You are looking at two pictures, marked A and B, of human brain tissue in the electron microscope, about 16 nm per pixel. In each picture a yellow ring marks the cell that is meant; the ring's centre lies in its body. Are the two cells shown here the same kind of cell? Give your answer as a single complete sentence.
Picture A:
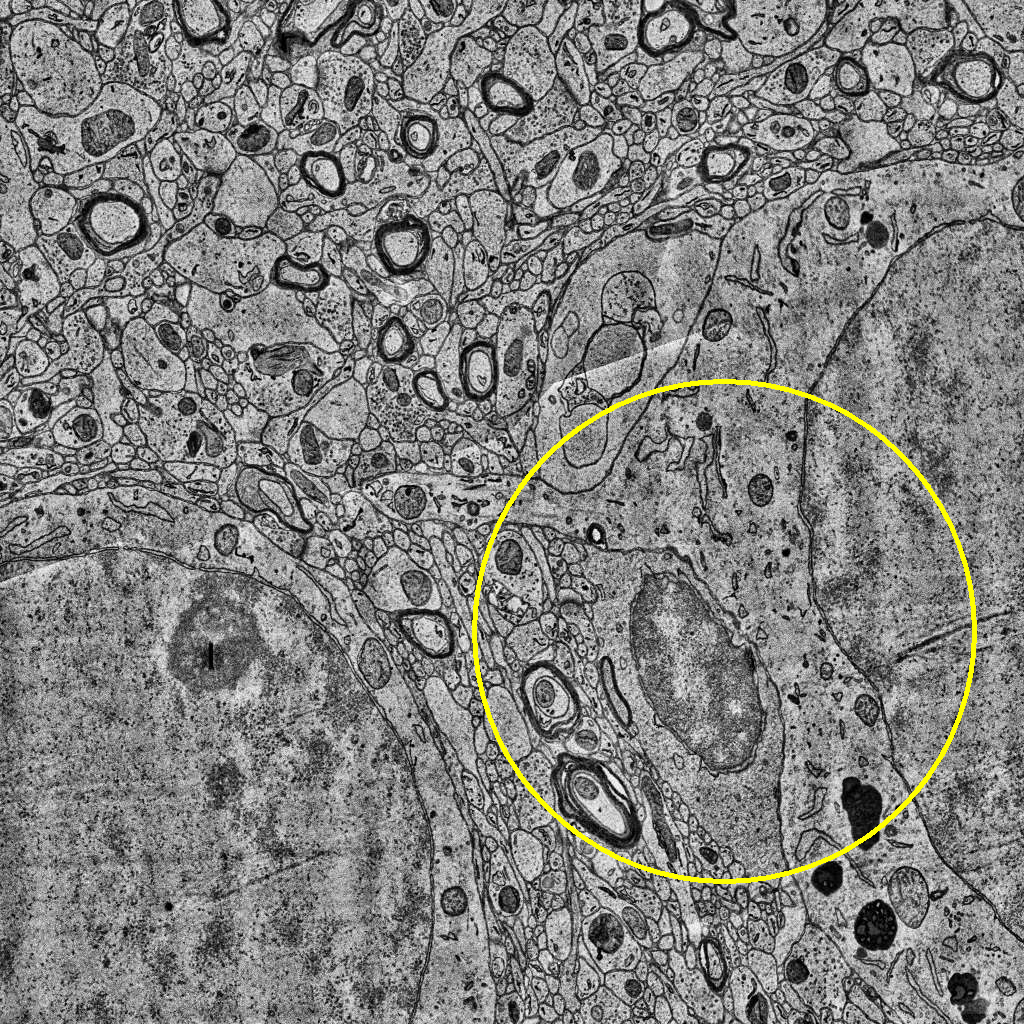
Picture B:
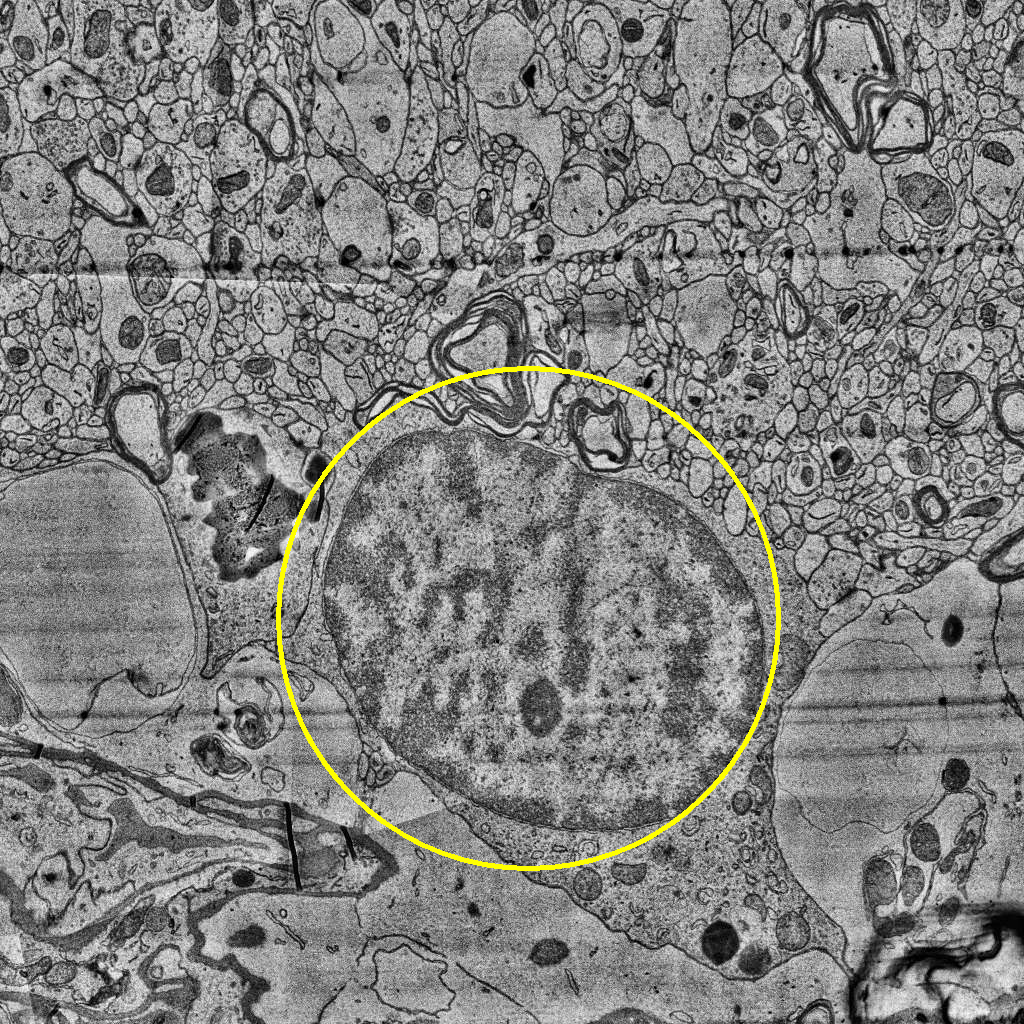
Yes, both are oligodendrocytes.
